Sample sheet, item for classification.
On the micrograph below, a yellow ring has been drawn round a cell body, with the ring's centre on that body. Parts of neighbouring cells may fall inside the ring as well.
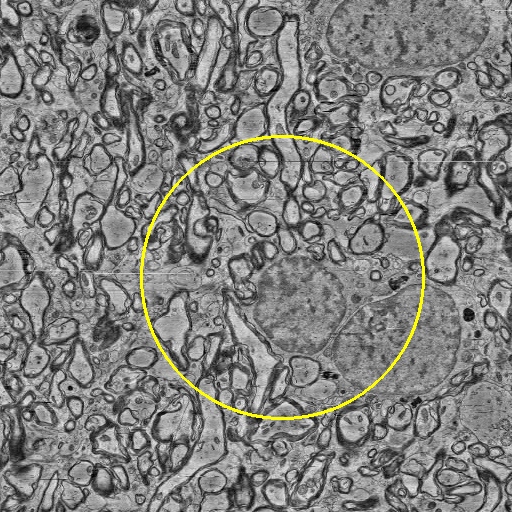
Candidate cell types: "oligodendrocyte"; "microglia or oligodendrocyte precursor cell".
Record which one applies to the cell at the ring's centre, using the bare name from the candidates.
oligodendrocyte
